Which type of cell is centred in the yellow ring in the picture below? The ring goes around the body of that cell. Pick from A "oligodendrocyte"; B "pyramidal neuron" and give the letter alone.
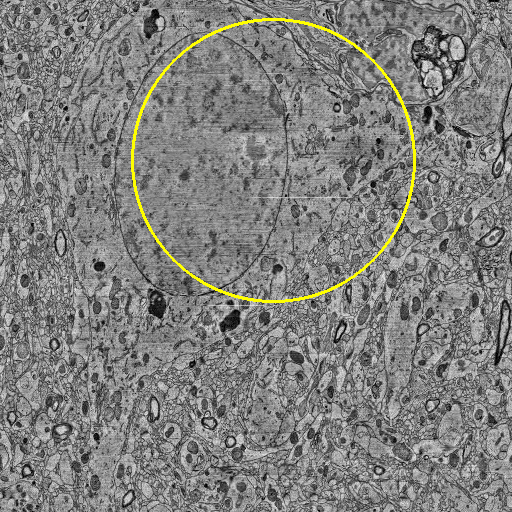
B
